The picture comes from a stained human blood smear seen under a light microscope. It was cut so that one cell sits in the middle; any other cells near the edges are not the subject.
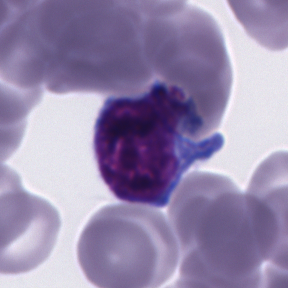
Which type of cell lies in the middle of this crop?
typical lymphocyte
